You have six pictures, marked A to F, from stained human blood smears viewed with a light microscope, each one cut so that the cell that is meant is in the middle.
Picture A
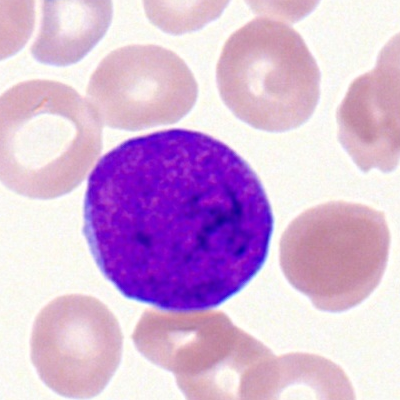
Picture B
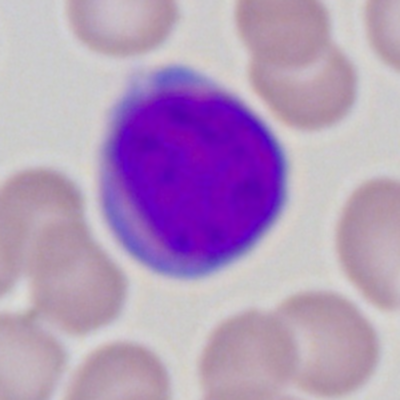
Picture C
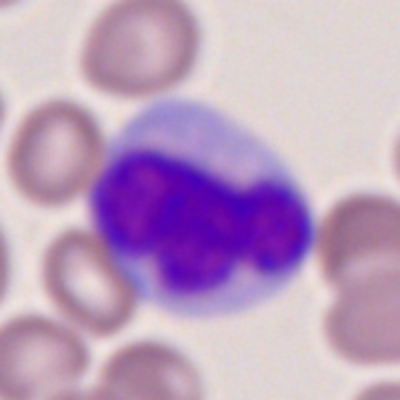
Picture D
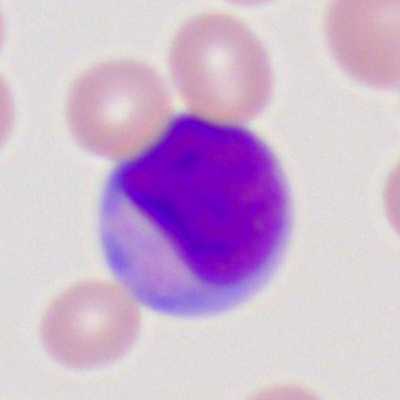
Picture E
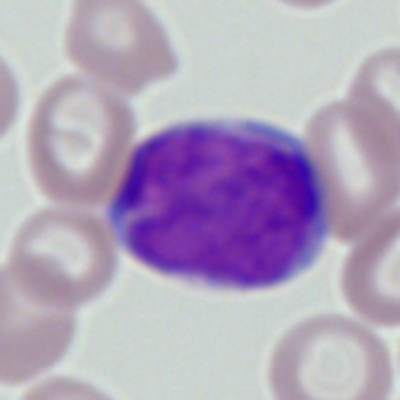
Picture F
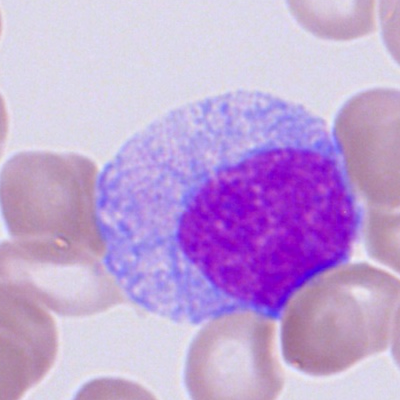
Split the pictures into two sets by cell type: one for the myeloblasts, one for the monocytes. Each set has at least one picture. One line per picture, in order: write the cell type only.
myeloblast
myeloblast
monocyte
myeloblast
myeloblast
monocyte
